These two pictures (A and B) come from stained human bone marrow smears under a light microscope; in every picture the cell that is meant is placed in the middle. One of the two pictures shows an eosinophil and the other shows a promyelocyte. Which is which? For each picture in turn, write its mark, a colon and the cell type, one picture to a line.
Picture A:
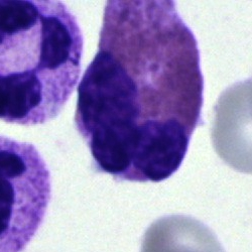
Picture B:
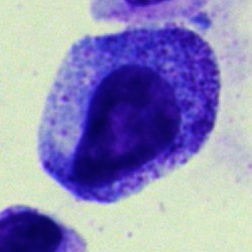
A: eosinophil
B: promyelocyte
